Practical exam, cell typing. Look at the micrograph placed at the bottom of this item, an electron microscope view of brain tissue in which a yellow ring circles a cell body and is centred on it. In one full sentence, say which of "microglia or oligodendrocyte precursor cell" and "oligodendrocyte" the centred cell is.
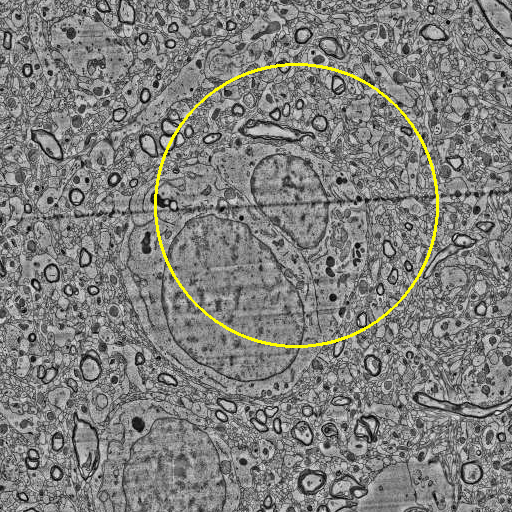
Given the options, a microglial cell or oligodendrocyte precursor cell fits the cell whose body the yellow ring is centred on.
